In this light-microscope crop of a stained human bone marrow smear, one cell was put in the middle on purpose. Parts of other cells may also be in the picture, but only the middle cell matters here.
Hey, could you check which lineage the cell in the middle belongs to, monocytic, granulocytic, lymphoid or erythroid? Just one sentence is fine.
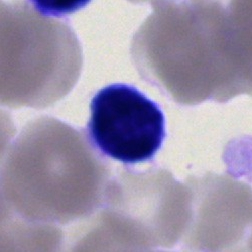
Classified by lineage, the middle cell is lymphoid.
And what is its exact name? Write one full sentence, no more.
In this smear crop, the middle cell is a lymphocyte.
